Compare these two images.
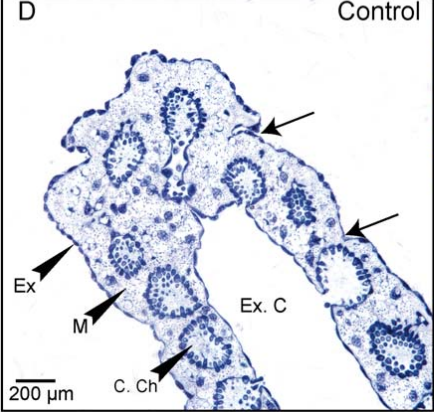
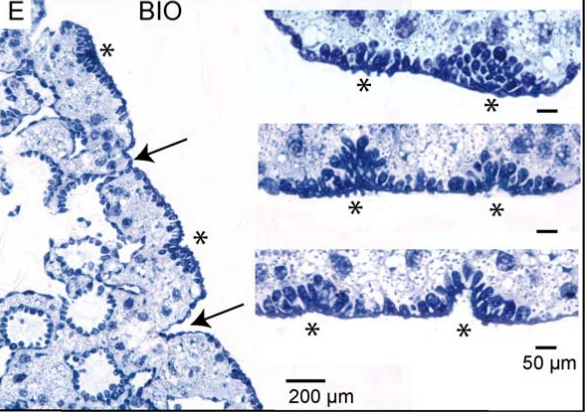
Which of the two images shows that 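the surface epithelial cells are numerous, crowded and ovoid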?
the second image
